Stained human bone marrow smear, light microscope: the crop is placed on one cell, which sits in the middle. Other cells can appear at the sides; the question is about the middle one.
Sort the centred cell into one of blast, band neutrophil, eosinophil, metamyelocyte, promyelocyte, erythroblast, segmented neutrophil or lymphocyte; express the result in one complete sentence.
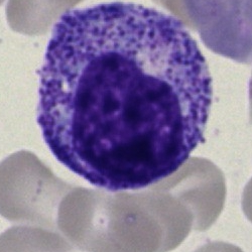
Classified as a promyelocyte is the cell in the middle of this crop.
